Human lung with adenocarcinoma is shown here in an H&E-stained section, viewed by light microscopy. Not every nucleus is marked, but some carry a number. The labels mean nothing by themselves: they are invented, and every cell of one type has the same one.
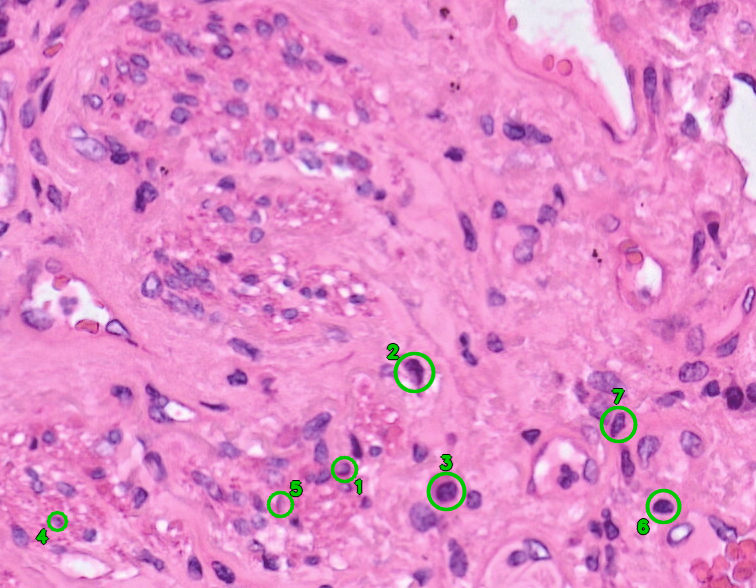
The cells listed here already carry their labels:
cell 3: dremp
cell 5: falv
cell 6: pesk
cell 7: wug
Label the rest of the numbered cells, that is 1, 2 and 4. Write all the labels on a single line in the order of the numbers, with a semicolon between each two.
falv; dremp; falv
